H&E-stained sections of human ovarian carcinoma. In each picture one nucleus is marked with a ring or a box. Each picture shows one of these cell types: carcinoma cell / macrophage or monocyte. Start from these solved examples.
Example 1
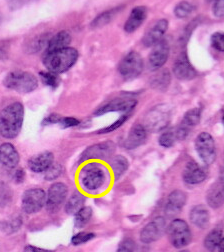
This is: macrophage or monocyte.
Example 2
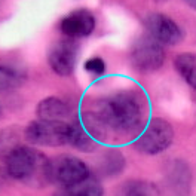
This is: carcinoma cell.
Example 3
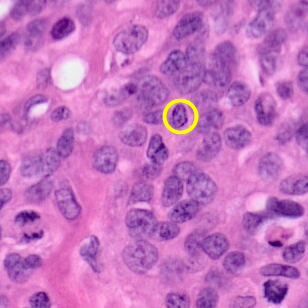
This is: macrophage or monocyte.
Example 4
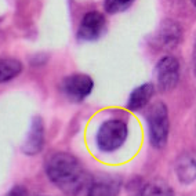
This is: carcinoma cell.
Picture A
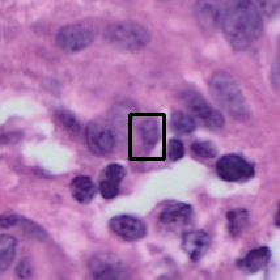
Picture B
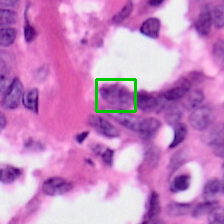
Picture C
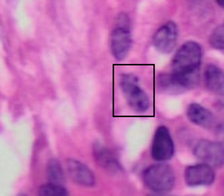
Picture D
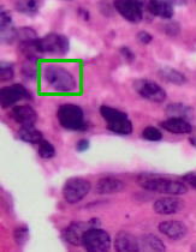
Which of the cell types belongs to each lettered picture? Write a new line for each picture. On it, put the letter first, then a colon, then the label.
A: carcinoma cell.
B: carcinoma cell.
C: macrophage or monocyte.
D: macrophage or monocyte.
